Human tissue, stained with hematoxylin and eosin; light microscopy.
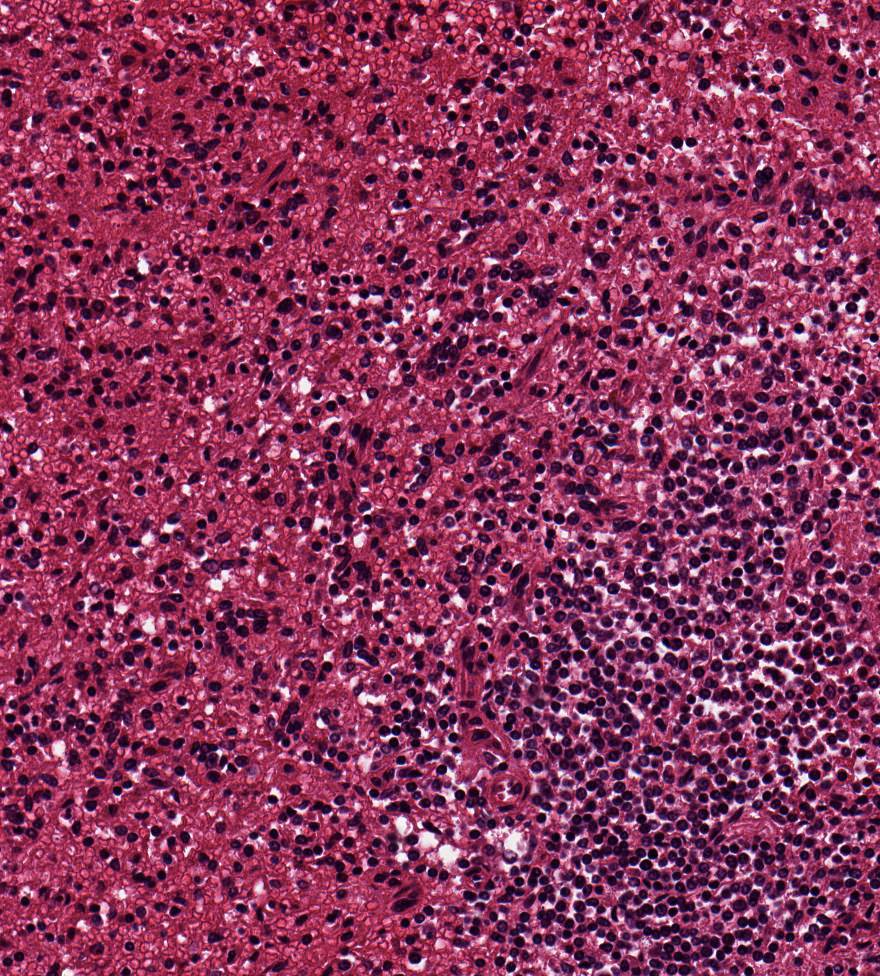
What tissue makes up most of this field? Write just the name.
red pulp of the spleen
